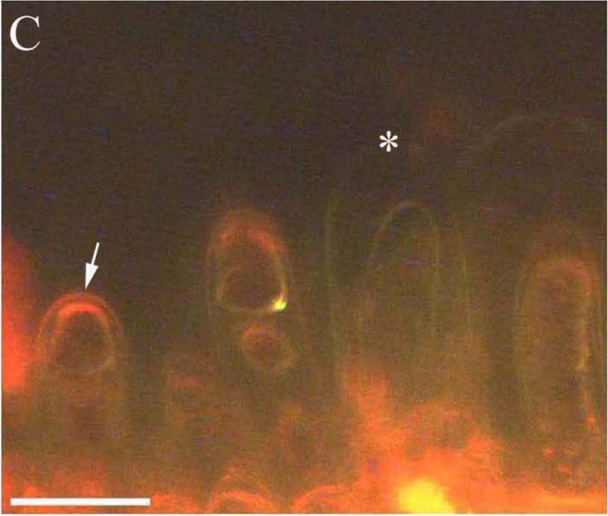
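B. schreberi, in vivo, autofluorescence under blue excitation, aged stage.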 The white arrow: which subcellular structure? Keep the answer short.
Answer: Ball-like protoplast.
